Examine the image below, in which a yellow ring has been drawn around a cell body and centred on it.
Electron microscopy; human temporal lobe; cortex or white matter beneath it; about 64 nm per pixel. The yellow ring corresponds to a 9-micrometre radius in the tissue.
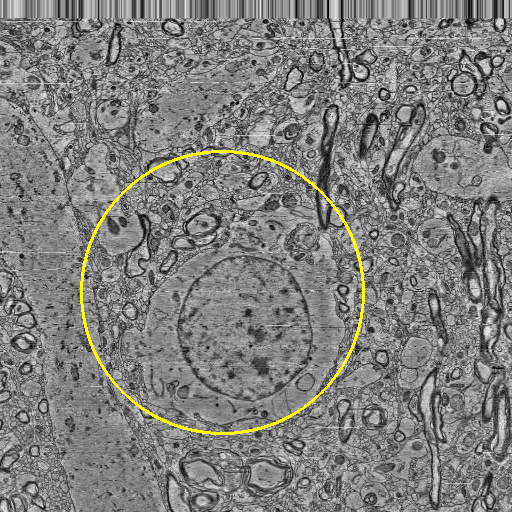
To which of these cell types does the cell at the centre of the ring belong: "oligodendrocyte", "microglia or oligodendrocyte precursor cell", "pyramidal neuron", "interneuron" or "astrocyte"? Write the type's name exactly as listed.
astrocyte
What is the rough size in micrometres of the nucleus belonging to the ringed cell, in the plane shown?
The nucleus of the ringed cell is approximately 9 micrometres across in this plane.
